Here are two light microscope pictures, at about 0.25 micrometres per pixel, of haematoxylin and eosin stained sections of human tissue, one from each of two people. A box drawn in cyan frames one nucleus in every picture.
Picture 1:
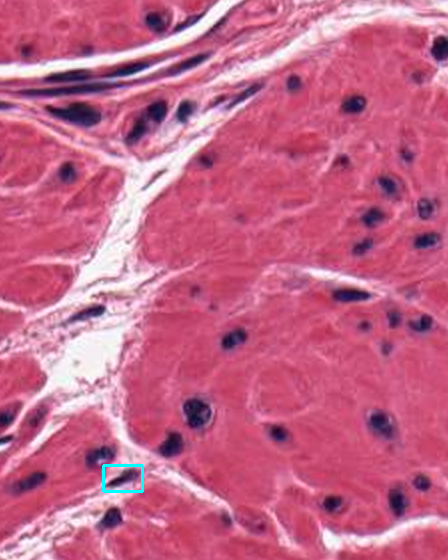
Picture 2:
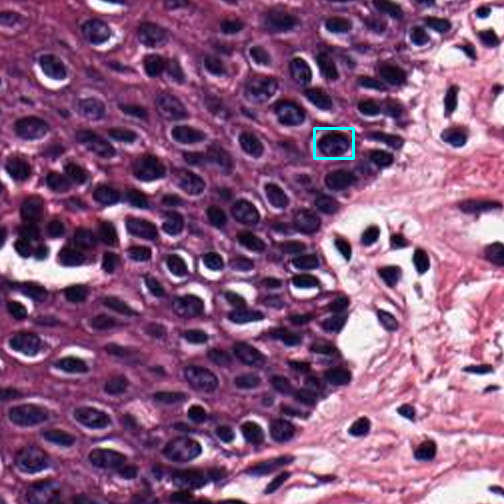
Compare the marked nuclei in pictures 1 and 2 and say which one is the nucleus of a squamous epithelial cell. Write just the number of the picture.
2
